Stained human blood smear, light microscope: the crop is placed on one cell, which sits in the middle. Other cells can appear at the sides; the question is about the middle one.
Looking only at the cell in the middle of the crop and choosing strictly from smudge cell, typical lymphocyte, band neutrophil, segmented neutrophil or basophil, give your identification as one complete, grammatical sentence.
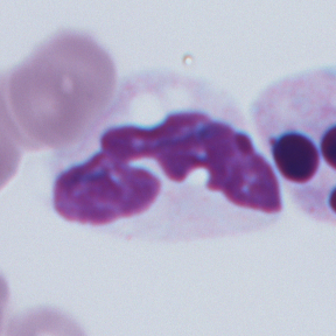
The cell in the middle of this crop is a segmented neutrophil.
